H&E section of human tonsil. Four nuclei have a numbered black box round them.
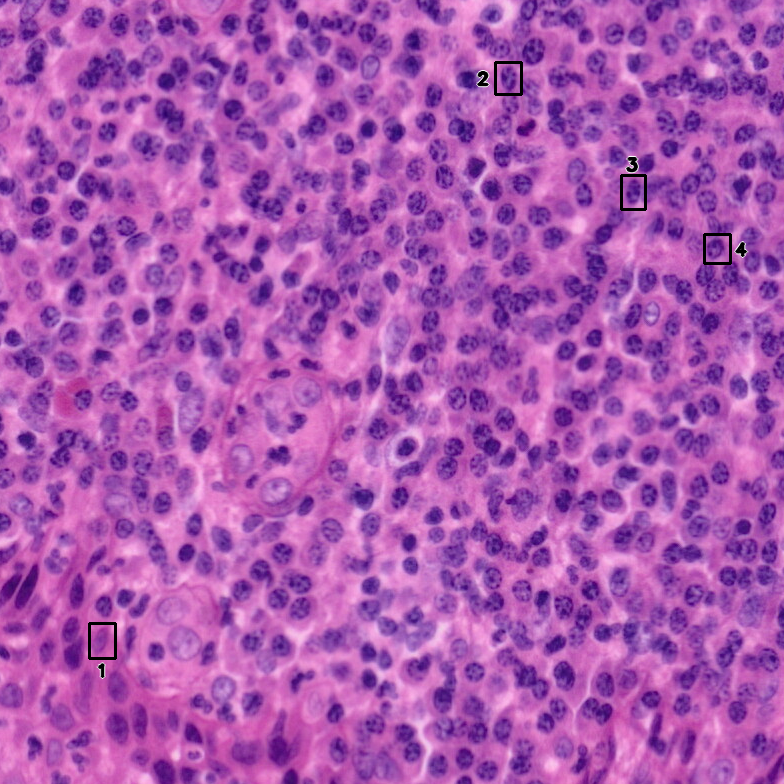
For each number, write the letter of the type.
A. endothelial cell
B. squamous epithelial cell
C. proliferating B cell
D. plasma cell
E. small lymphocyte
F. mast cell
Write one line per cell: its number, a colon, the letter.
1: B
2: D
3: D
4: D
